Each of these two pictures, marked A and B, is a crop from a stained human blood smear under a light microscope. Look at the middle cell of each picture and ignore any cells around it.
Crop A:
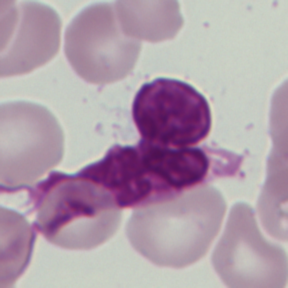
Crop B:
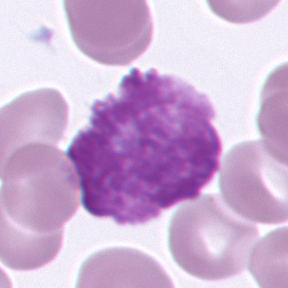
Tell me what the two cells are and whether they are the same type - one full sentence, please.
Yes, in the middle of both crops lie smudge cells.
